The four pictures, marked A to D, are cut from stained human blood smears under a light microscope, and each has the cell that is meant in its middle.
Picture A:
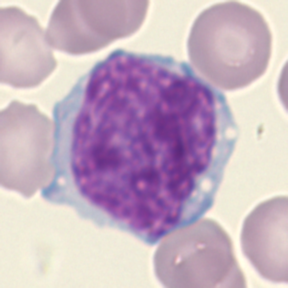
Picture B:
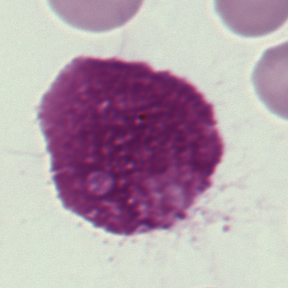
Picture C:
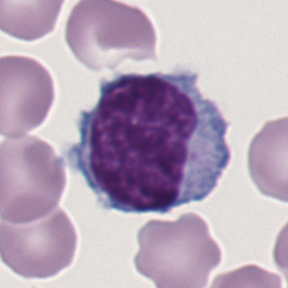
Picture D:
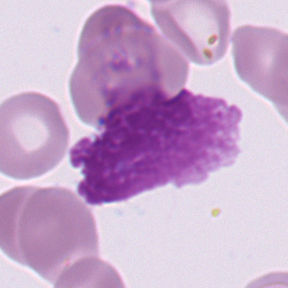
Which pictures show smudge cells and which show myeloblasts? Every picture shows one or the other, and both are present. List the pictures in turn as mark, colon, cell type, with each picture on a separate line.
A: myeloblast
B: smudge cell
C: myeloblast
D: smudge cell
